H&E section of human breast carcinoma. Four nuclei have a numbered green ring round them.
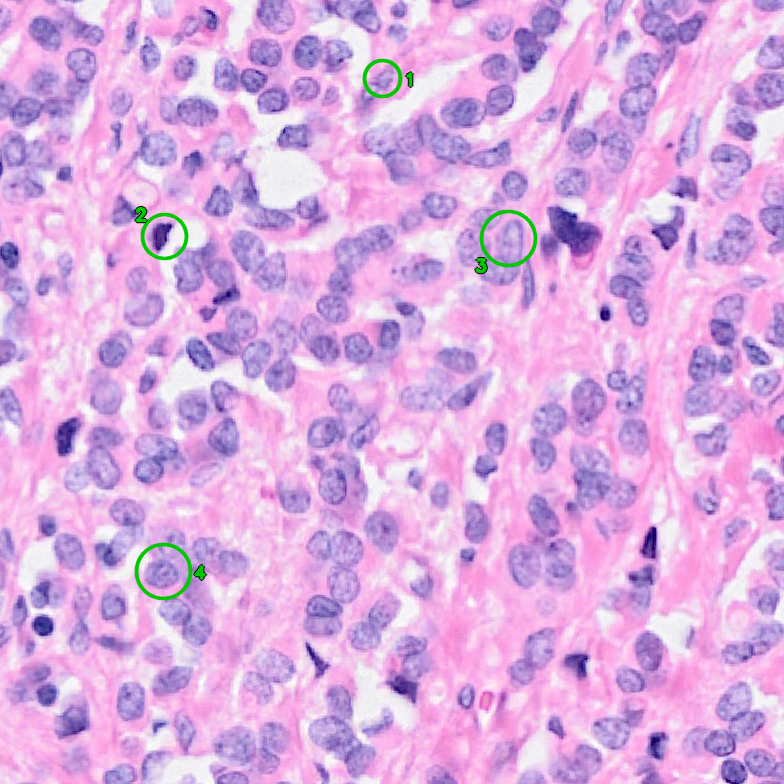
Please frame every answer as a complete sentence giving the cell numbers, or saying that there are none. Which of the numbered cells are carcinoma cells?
The cells marked by the numbers 2, 3 and 4 are carcinoma cells.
